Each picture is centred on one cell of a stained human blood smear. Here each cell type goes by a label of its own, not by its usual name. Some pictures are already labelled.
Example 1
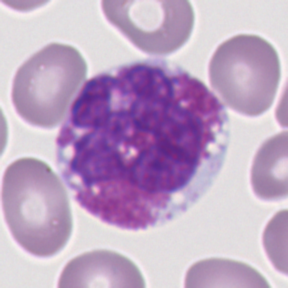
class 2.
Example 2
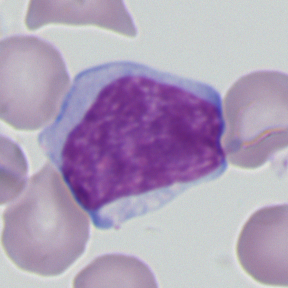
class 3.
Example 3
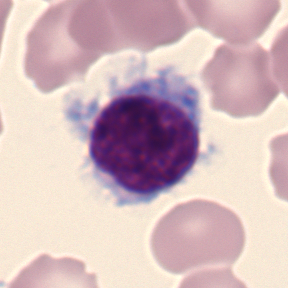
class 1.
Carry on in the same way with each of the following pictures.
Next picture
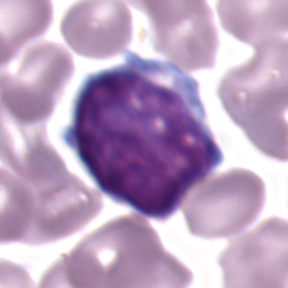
class 3.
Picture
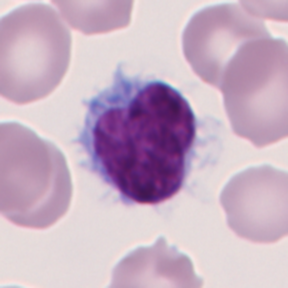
class 1.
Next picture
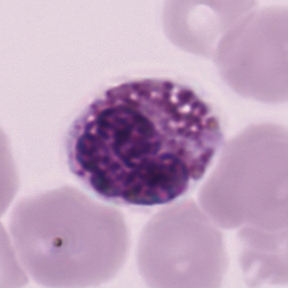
class 2.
